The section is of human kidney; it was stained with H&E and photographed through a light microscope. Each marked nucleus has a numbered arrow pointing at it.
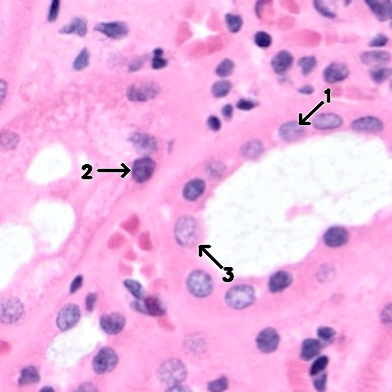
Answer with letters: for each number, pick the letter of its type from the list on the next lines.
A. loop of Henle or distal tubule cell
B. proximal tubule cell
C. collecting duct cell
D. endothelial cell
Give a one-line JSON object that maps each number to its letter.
{"1": "A", "2": "B", "3": "A"}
